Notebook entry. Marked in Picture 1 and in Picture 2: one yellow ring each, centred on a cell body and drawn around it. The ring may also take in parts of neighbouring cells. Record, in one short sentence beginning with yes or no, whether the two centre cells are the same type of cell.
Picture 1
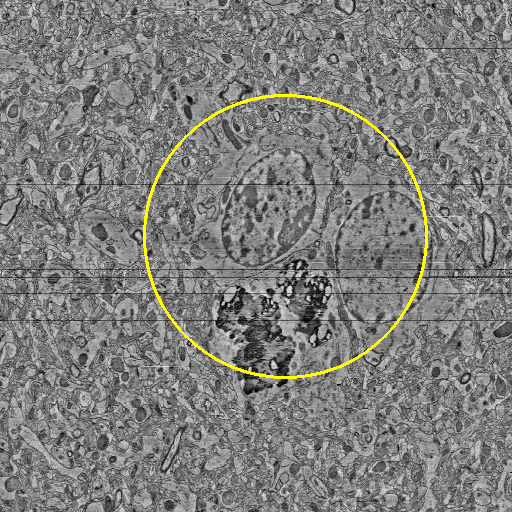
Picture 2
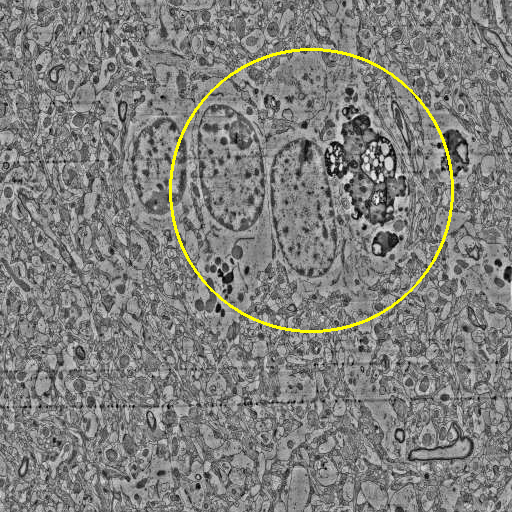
Yes, both are the same type of cell.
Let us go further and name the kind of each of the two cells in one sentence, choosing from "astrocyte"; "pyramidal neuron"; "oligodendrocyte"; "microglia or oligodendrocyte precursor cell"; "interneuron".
In both pictures the ring is centred on an astrocyte.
